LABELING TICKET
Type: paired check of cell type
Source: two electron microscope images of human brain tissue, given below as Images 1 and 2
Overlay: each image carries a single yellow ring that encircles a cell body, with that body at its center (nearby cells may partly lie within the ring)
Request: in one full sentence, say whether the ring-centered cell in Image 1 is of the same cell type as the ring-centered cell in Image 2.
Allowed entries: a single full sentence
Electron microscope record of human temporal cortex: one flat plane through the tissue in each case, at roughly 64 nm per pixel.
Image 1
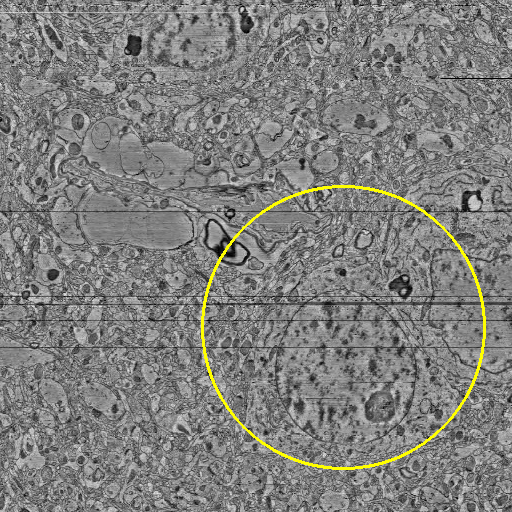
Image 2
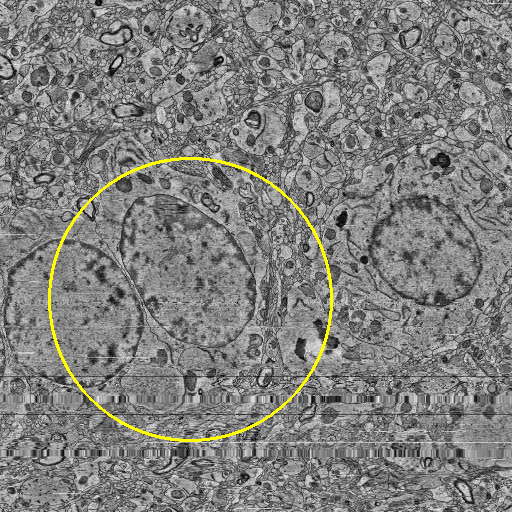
No, the cells centered in the rings of Image 1 and Image 2 are of two types.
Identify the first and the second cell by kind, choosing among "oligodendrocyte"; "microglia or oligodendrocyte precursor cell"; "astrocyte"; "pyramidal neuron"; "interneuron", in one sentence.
The one in the first picture is a pyramidal neuron, while the one in the second is an astrocyte.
